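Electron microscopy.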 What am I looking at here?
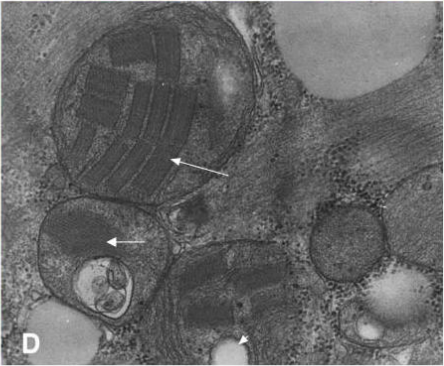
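Electron micrograph of a cluster of enlarged mitochondria bounded by membranes. Several contain stacked, regularly striped paracrystalline inclusions arranged in parallel bands, and one also encloses small whorled membranous material; round pale homogeneous droplets lie nearby.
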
